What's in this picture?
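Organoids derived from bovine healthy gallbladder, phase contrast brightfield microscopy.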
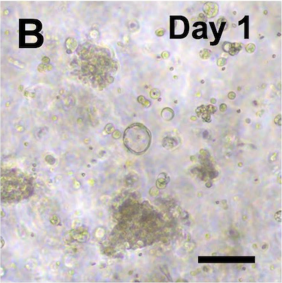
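A small round hollow structure with a thin refractile wall lies near the centre of the field. Around it lie several irregular, dark, granular clumps of cells of varied size, the largest in the lower middle. Many tiny round particles and debris are scattered through the matrix.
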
